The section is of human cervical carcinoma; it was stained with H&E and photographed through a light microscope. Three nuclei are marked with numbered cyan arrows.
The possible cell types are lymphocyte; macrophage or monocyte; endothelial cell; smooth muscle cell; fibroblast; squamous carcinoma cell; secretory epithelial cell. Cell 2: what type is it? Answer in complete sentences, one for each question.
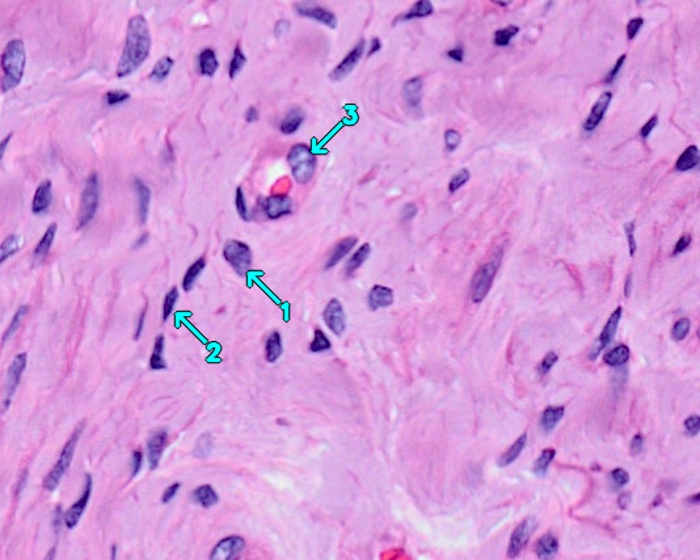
Corresponding to a fibroblast is the cell labelled 2.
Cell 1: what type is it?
Cell 1 of the marked set is a fibroblast.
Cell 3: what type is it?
Among the marked nuclei, number 3 belongs to an endothelial cell.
